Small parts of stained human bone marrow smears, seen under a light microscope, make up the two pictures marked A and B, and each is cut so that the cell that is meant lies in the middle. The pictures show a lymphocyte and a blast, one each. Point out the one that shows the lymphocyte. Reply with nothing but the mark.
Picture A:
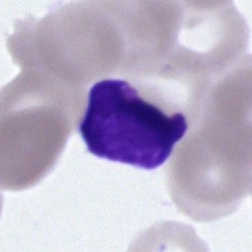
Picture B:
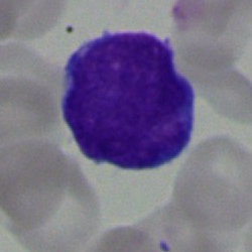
A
